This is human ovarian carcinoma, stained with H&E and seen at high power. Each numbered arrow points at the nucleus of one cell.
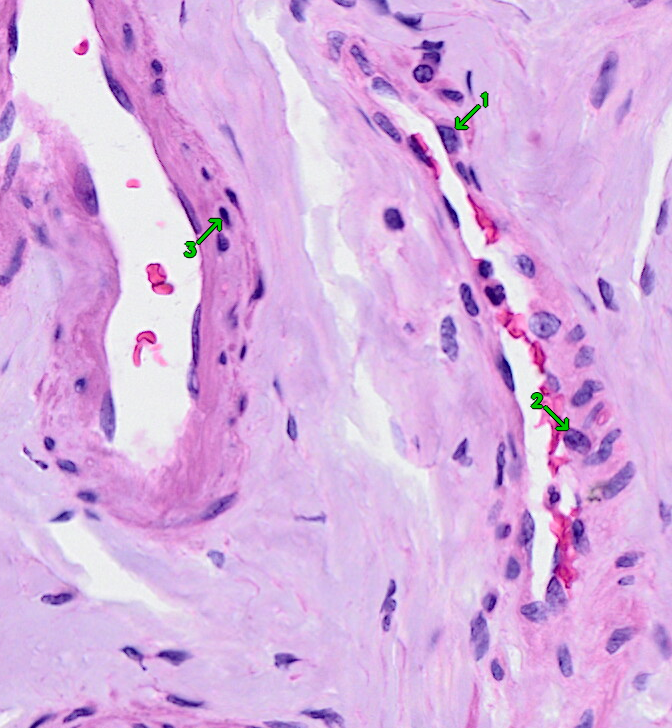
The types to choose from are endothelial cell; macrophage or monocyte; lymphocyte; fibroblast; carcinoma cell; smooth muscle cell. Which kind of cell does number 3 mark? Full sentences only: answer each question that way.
The cell that bears the number 3 is a smooth muscle cell.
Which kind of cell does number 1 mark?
What the number 1 marks in this field is an endothelial cell.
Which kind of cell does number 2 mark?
Number 2 among the marked cells is an endothelial cell.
